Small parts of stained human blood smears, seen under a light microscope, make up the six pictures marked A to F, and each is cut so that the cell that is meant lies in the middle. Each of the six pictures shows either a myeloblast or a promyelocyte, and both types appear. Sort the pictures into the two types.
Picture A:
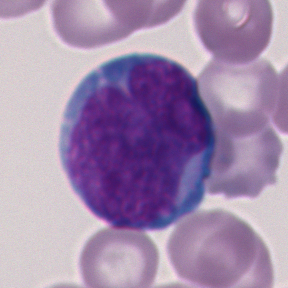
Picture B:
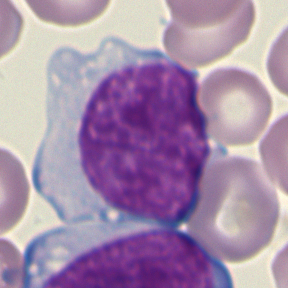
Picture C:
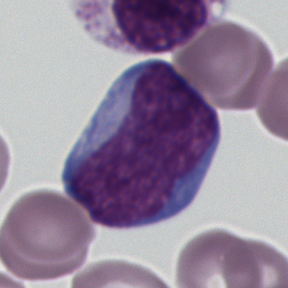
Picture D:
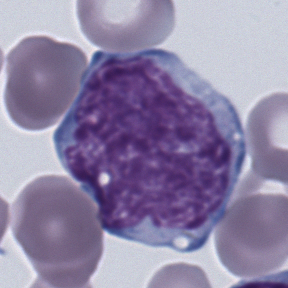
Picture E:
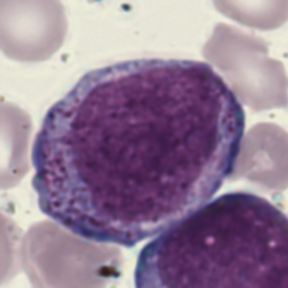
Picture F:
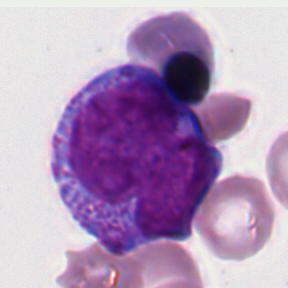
A: myeloblast
B: myeloblast
C: myeloblast
D: myeloblast
E: promyelocyte
F: promyelocyte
